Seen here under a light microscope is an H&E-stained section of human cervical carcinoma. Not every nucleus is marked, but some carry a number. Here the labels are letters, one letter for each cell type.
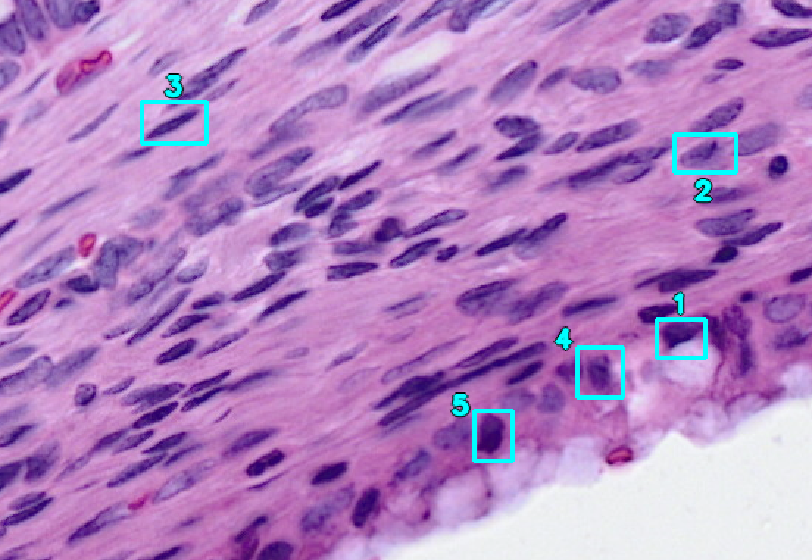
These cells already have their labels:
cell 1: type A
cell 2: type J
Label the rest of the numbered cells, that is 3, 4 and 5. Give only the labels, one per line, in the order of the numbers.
type J
type A
type A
